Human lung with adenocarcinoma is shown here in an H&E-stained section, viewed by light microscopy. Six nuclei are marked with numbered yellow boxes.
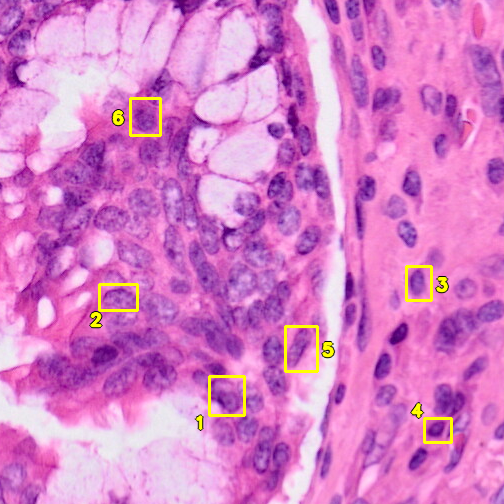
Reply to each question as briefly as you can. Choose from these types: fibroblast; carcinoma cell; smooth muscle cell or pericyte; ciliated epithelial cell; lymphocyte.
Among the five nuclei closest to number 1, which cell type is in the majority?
ciliated epithelial cell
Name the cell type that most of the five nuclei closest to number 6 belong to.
ciliated epithelial cell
